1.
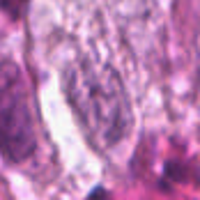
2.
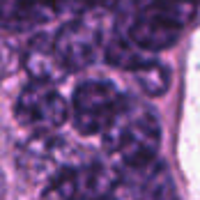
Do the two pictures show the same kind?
No: a maternal decidual cell, then a syncytial knot.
